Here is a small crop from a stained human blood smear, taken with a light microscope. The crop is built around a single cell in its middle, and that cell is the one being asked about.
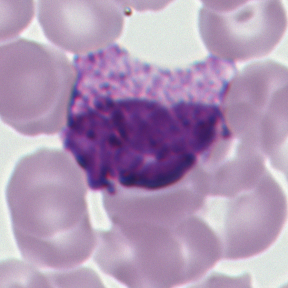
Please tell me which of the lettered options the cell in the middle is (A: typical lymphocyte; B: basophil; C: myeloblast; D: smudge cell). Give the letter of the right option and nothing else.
B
